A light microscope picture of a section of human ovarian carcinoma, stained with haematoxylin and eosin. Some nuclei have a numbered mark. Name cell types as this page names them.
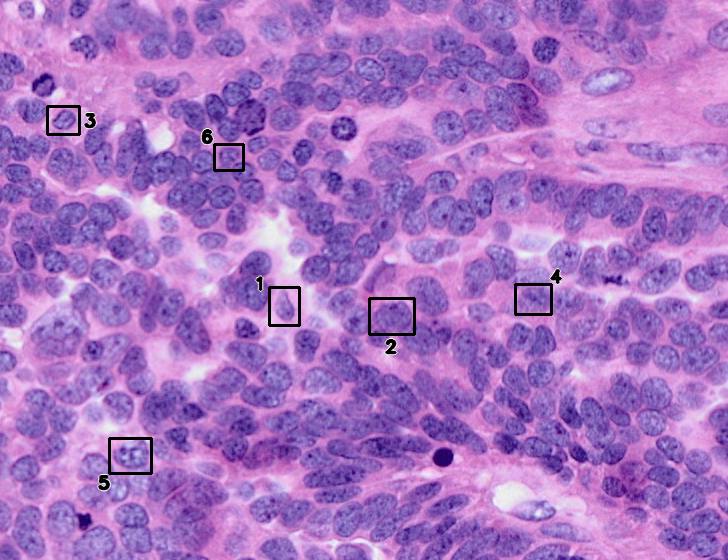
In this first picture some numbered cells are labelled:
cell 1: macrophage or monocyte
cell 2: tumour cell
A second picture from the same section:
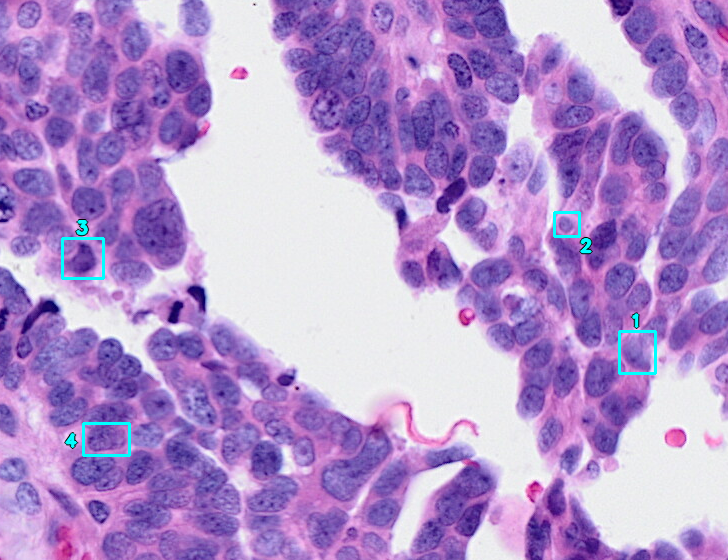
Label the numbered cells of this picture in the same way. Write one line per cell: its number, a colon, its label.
1: tumour cell
2: macrophage or monocyte
3: tumour cell
4: tumour cell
